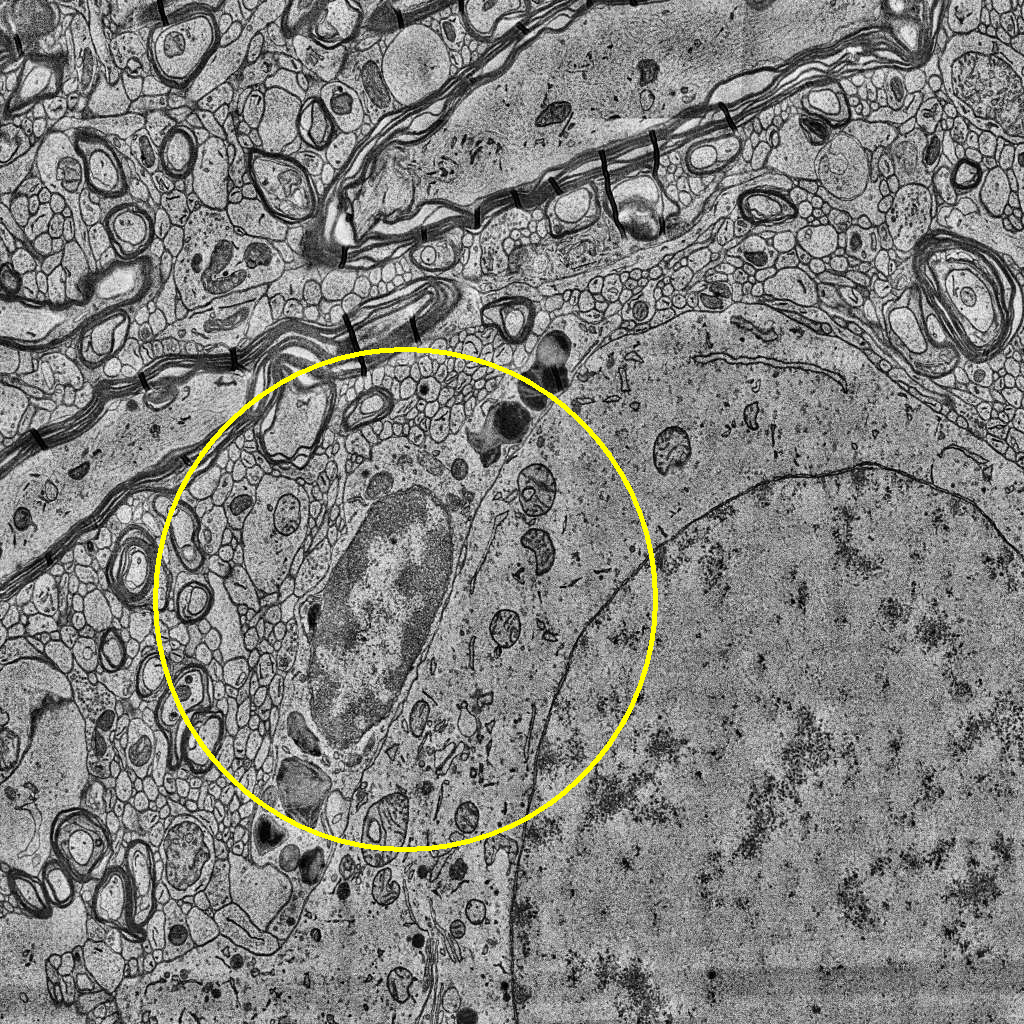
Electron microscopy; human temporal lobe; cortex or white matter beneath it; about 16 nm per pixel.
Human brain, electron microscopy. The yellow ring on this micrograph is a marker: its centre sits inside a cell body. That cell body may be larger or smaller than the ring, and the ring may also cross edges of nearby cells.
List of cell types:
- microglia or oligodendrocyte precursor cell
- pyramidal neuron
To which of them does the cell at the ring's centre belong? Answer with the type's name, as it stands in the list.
microglia or oligodendrocyte precursor cell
